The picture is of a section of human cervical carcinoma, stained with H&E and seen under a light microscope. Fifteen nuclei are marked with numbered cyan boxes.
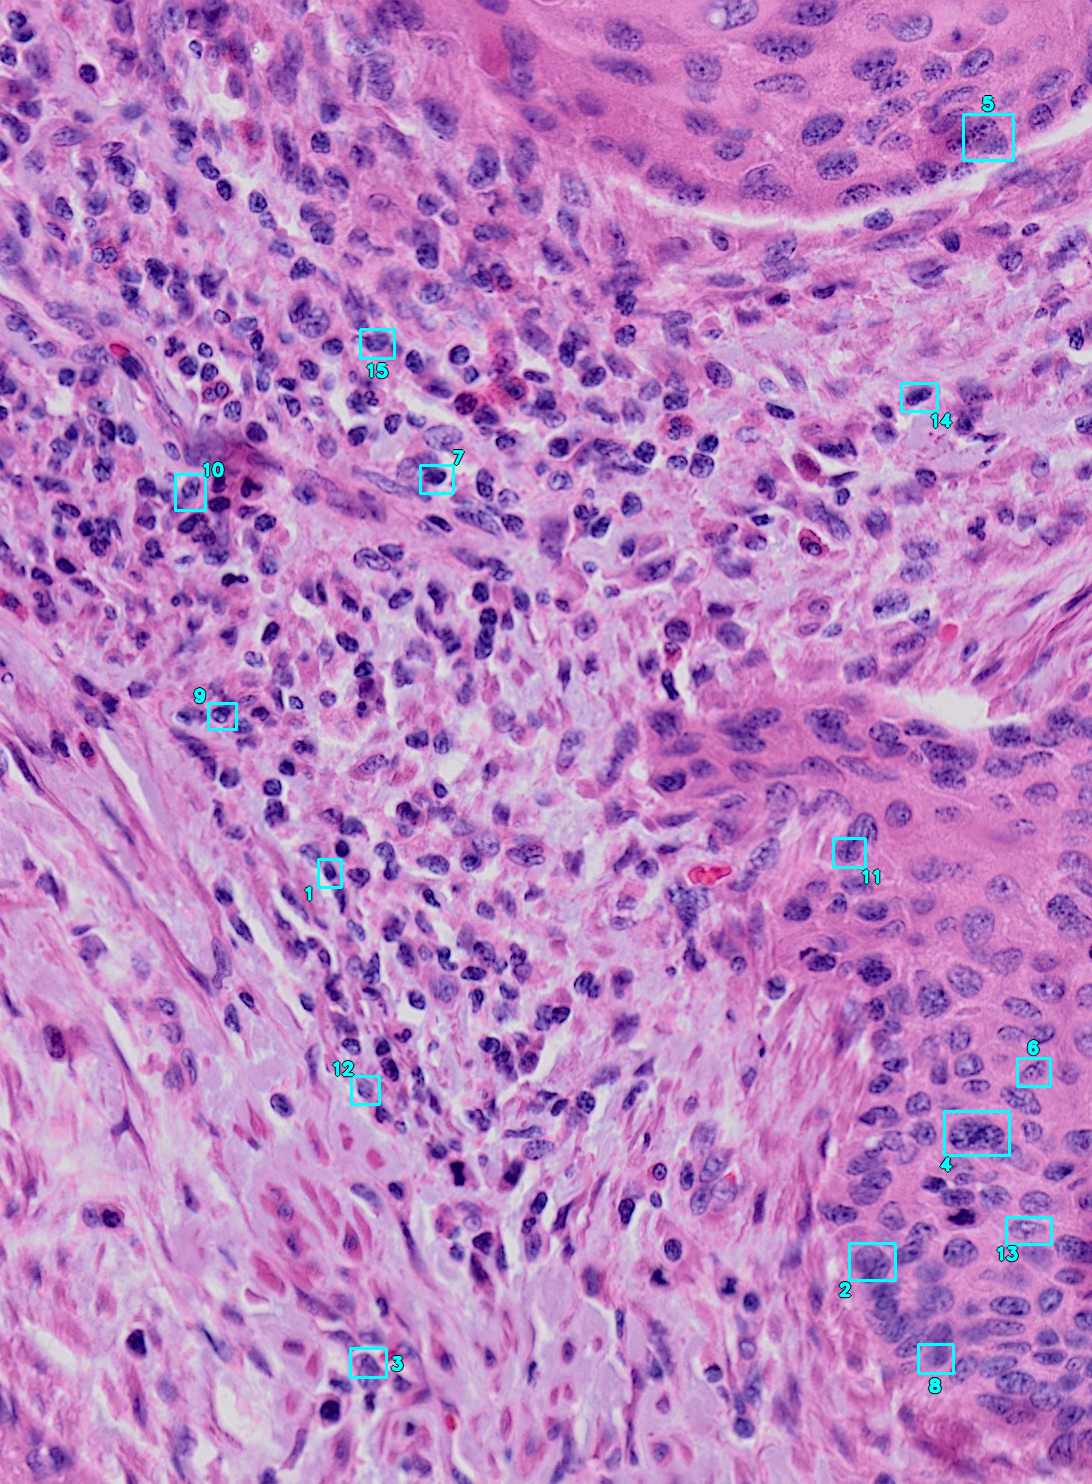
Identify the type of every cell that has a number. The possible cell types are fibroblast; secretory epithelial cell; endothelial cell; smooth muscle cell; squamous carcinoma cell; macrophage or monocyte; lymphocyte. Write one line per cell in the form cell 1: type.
cell 1: lymphocyte
cell 2: squamous carcinoma cell
cell 3: endothelial cell
cell 4: squamous carcinoma cell
cell 5: squamous carcinoma cell
cell 6: squamous carcinoma cell
cell 7: lymphocyte
cell 8: squamous carcinoma cell
cell 9: lymphocyte
cell 10: lymphocyte
cell 11: squamous carcinoma cell
cell 12: lymphocyte
cell 13: squamous carcinoma cell
cell 14: lymphocyte
cell 15: lymphocyte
